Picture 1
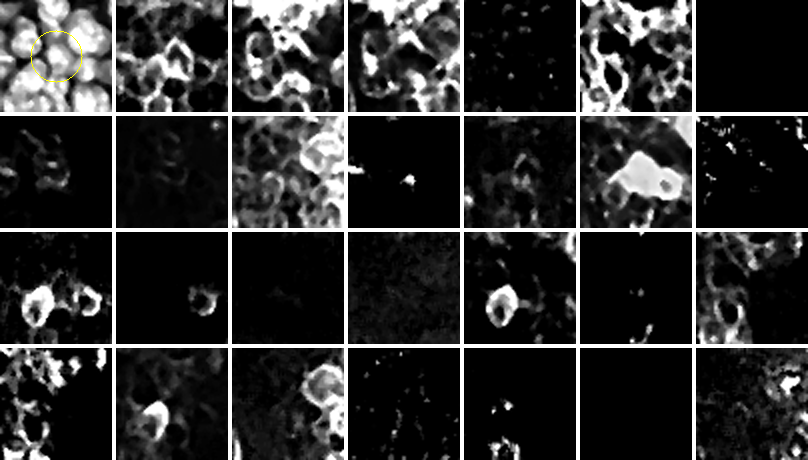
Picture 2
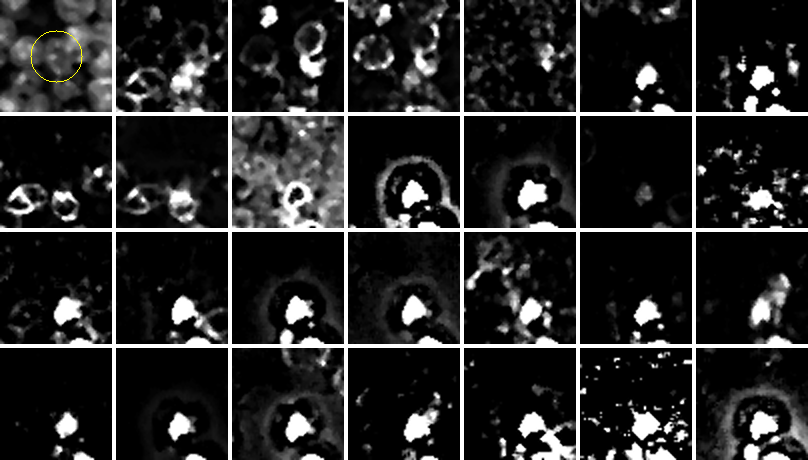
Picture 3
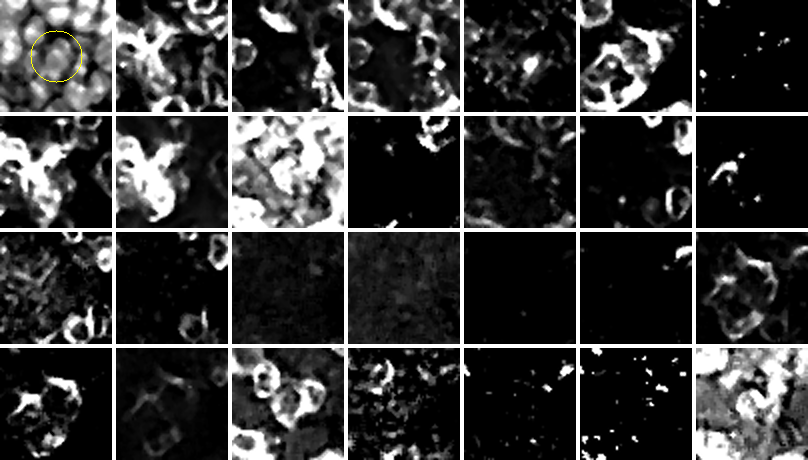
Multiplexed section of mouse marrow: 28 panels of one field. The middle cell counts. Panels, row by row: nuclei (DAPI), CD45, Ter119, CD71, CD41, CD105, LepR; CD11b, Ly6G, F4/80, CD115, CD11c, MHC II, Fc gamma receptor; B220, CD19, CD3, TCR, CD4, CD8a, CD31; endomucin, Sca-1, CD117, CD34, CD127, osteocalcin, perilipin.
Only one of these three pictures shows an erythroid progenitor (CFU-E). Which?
Picture 3.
